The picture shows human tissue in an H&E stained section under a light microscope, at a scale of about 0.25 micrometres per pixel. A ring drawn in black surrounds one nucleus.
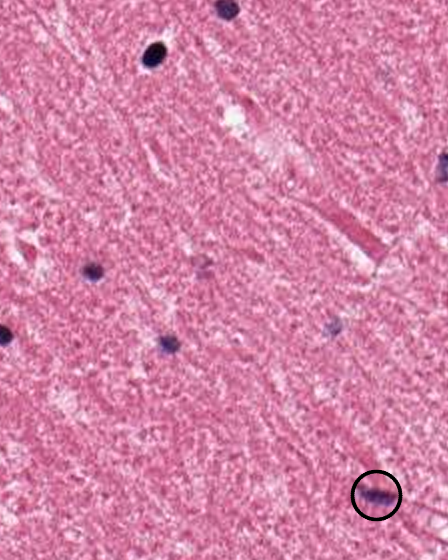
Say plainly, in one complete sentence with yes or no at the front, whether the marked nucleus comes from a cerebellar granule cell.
No, the marked nucleus, which belongs to a supporting cell, is not part of a cerebellar granule cell.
